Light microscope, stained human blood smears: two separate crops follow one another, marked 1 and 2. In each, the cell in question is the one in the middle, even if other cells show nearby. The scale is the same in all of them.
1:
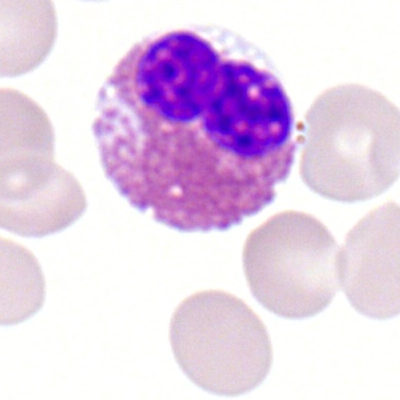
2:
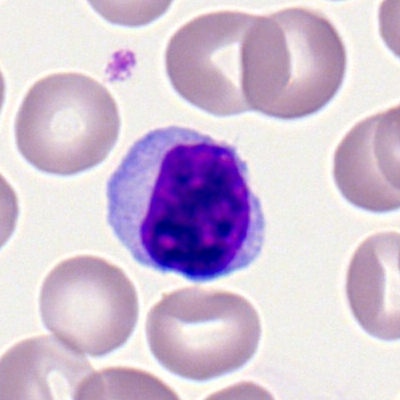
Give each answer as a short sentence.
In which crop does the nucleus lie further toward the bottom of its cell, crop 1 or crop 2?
The nucleus in crop 2 lies further toward the bottom of its cell.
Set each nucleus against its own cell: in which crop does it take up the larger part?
In crop 2 the nucleus takes up the larger part of its cell.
